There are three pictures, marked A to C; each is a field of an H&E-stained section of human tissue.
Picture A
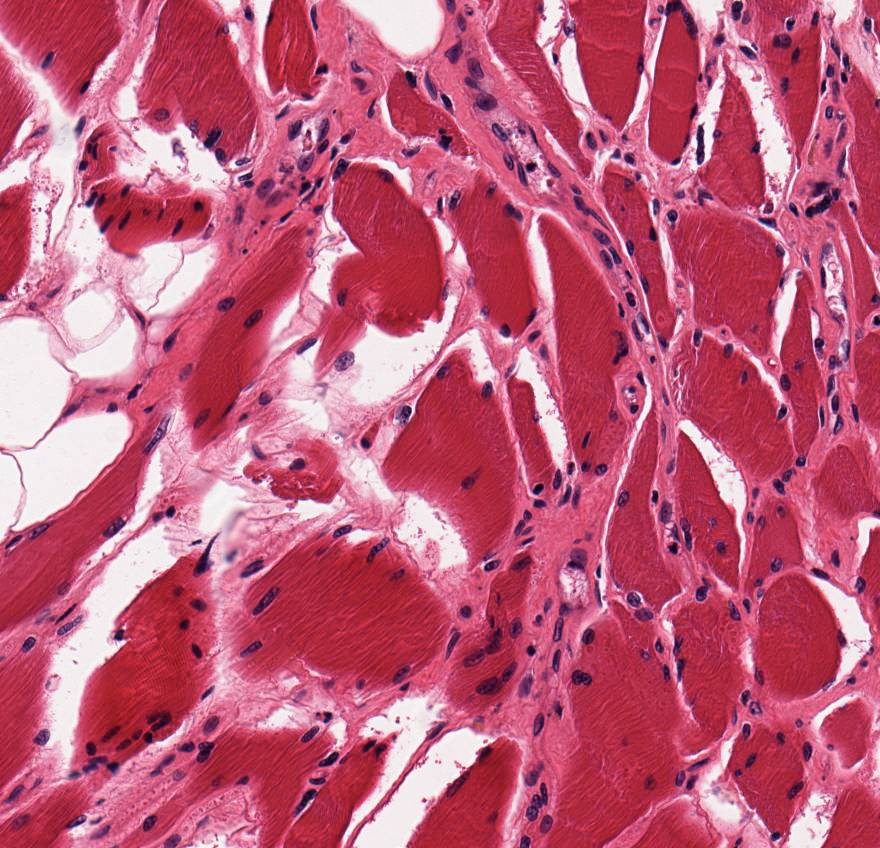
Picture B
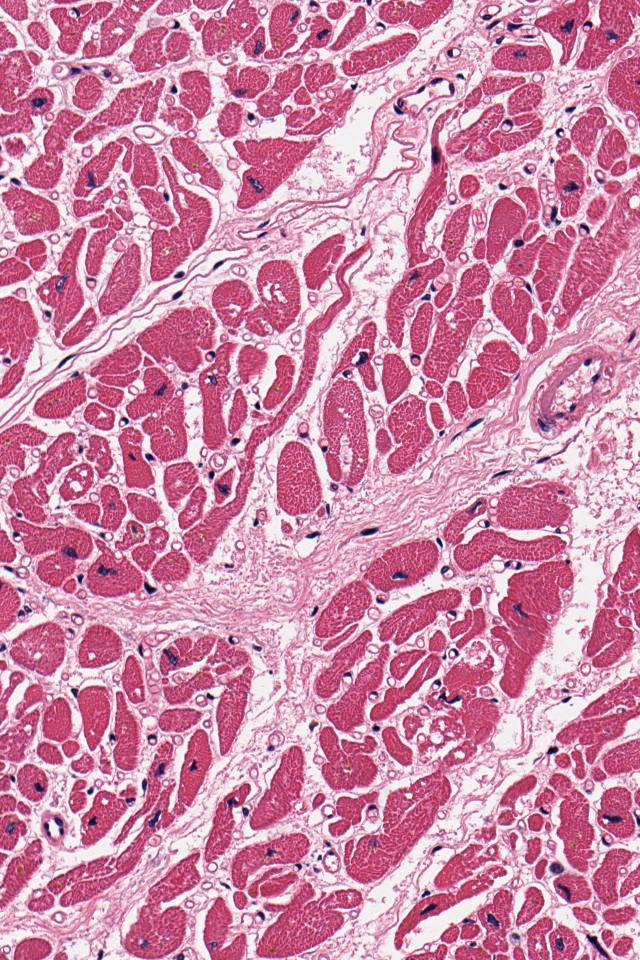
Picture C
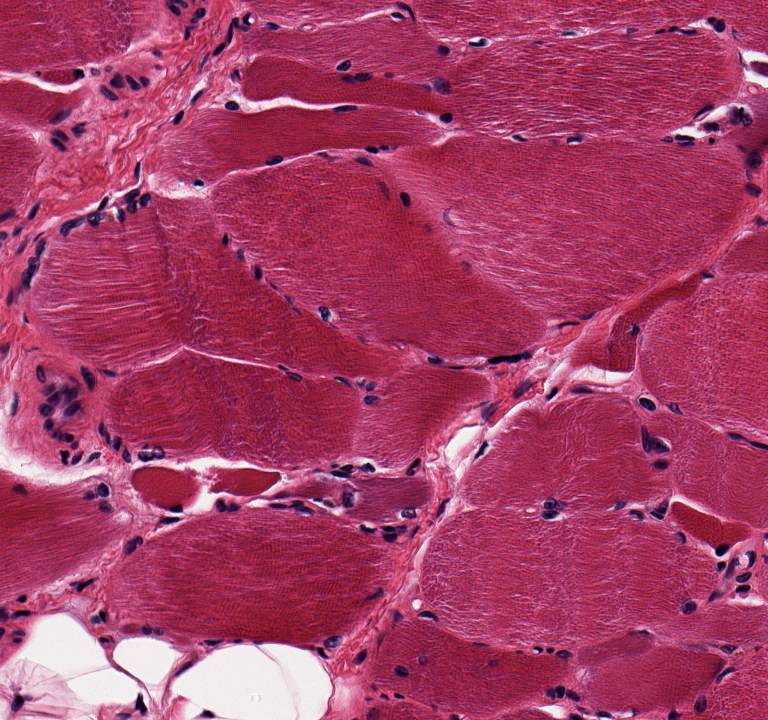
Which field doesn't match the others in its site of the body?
B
